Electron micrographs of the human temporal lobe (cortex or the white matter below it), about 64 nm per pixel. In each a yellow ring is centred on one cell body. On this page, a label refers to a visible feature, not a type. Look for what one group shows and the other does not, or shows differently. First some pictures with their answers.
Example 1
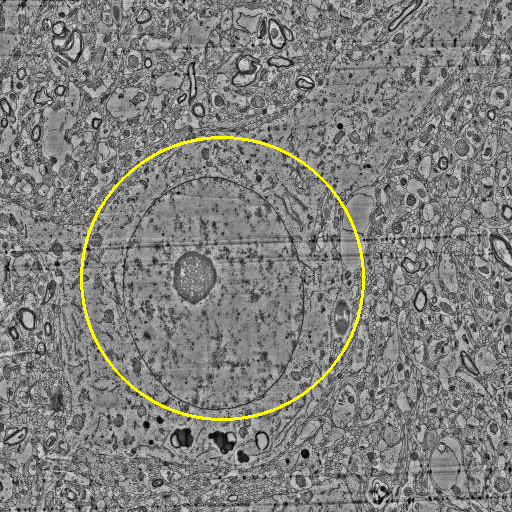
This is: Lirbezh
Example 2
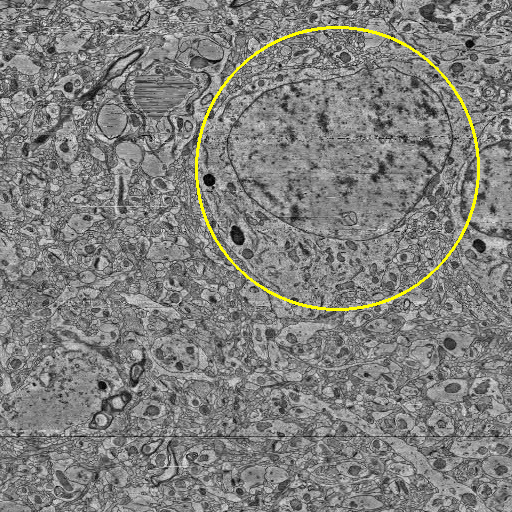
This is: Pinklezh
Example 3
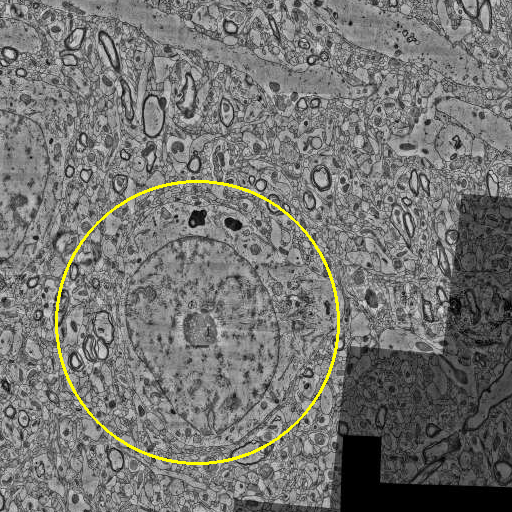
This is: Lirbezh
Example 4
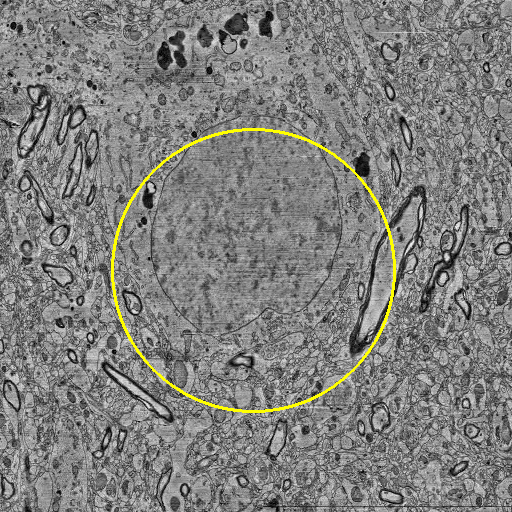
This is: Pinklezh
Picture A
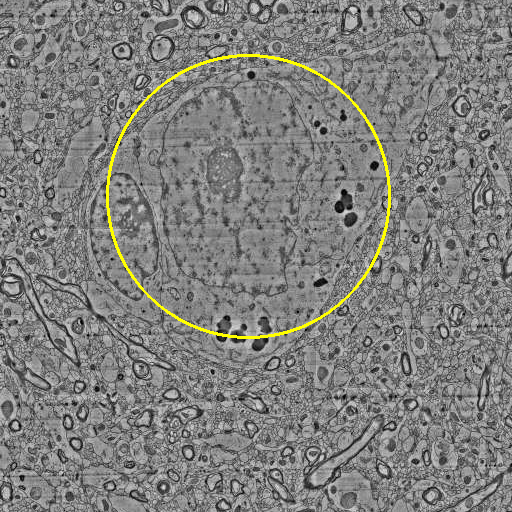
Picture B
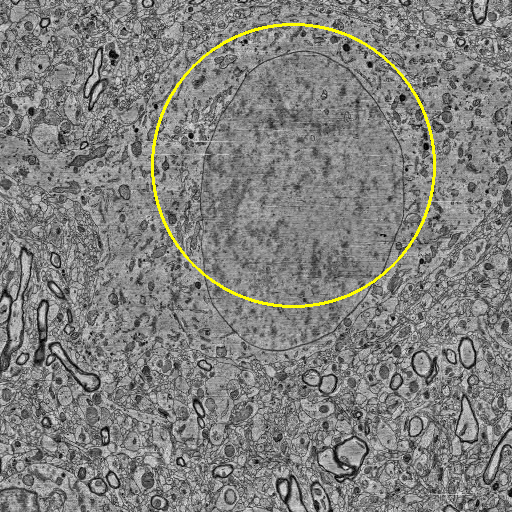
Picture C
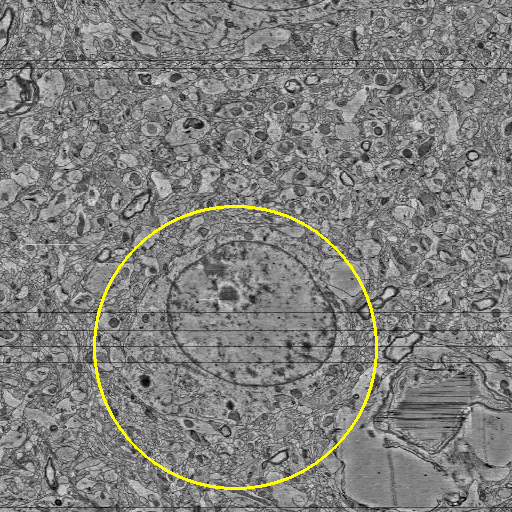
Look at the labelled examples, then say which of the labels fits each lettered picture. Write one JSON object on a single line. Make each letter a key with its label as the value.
{"A": "Lirbezh", "B": "Pinklezh", "C": "Lirbezh"}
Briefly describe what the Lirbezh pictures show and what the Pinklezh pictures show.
Lirbezh: nucleolus seen; Pinklezh: no nucleolus seen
